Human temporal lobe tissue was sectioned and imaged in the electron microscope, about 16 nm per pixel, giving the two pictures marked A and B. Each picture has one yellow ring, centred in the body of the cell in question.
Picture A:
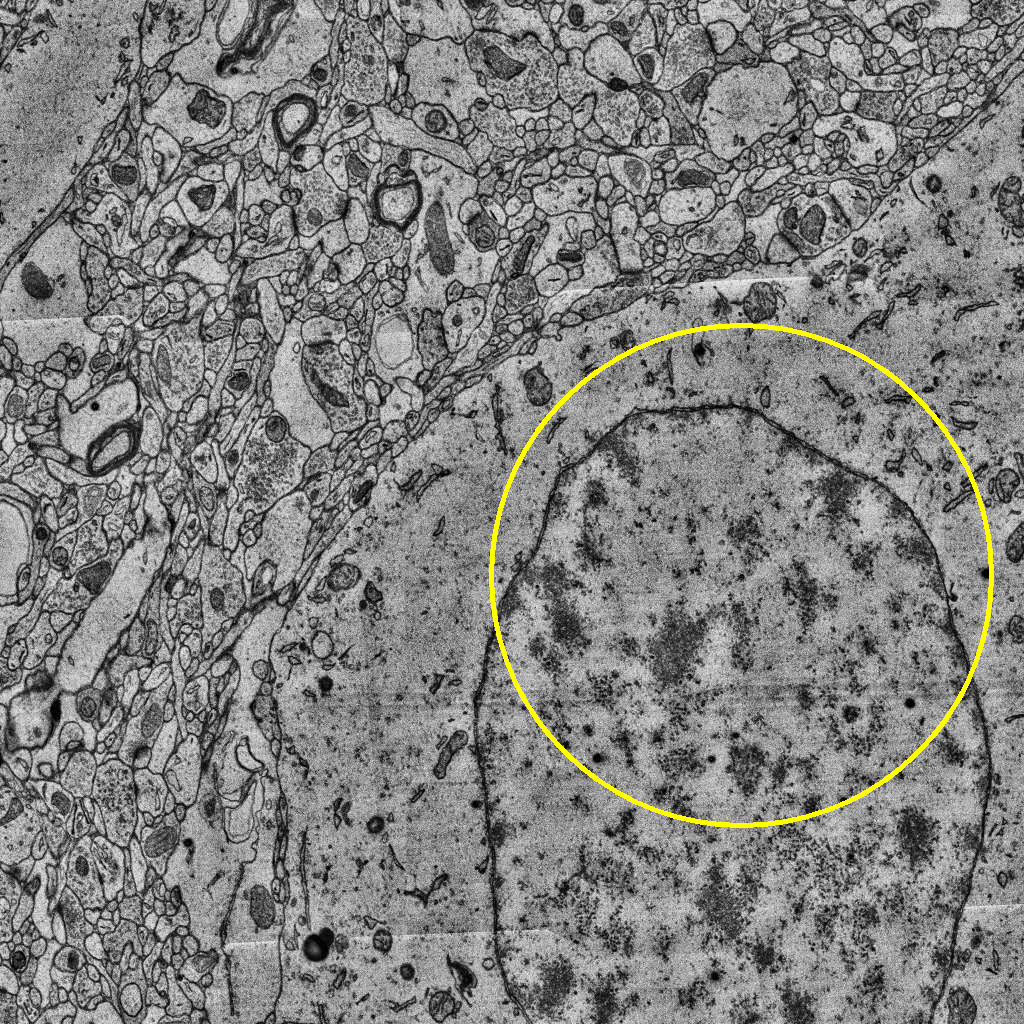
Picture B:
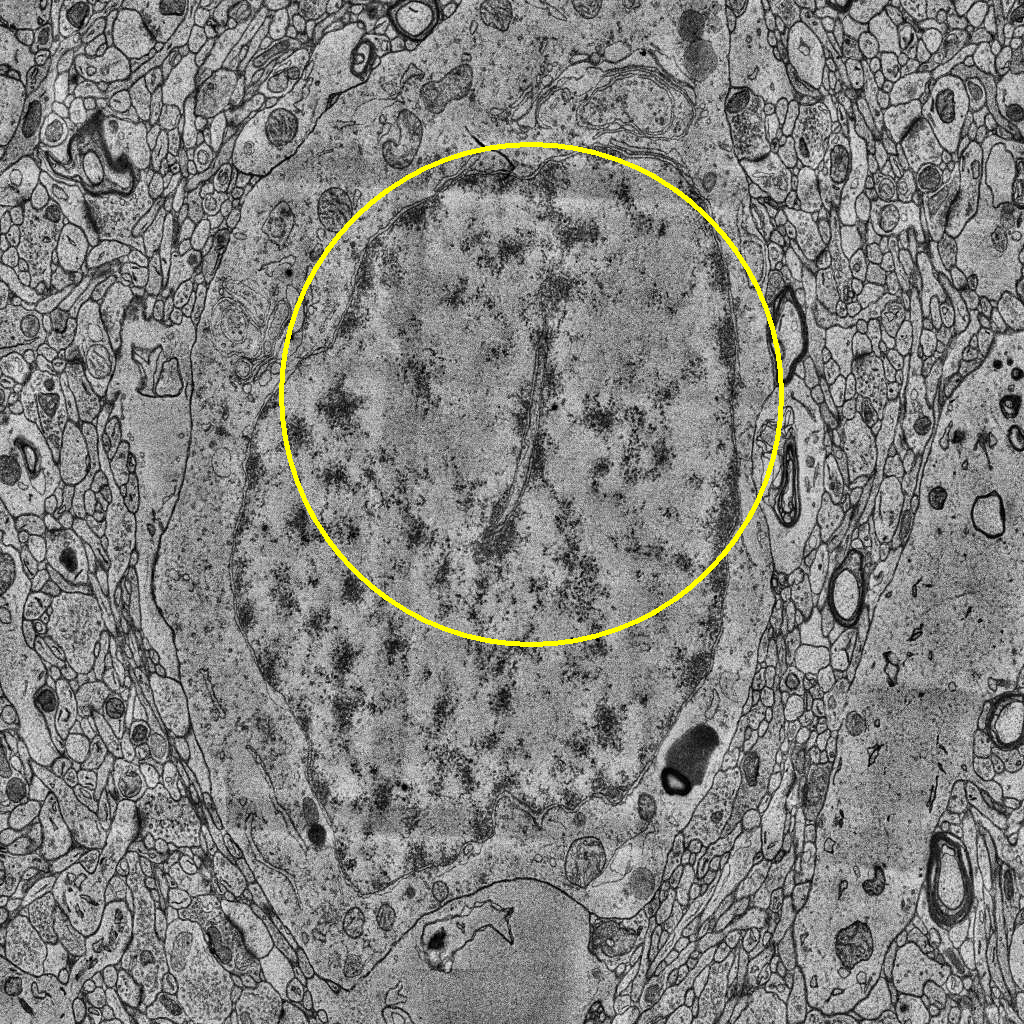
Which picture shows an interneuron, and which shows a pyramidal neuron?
Picture B shows an interneuron, while picture A shows a pyramidal neuron.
